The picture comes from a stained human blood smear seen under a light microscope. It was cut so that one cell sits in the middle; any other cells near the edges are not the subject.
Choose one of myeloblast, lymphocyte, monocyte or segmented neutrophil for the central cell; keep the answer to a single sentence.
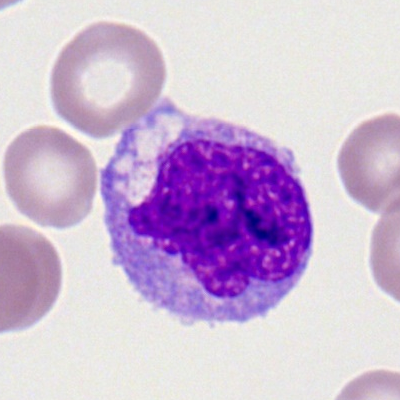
The crop's centre is taken up by a monocyte.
